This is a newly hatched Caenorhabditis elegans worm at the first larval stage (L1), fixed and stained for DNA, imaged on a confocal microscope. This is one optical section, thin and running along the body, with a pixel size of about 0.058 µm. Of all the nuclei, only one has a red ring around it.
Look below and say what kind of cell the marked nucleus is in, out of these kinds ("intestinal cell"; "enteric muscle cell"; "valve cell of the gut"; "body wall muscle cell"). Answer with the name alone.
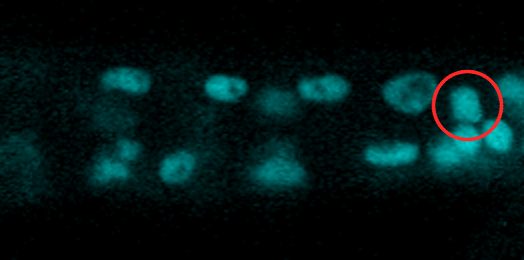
valve cell of the gut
